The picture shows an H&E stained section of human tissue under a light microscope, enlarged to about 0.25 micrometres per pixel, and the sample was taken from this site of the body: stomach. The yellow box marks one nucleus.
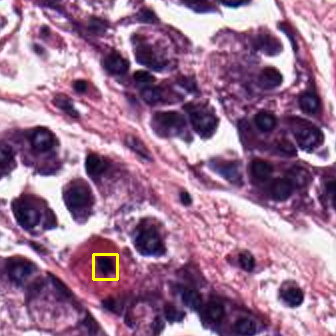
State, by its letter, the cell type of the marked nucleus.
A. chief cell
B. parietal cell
B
